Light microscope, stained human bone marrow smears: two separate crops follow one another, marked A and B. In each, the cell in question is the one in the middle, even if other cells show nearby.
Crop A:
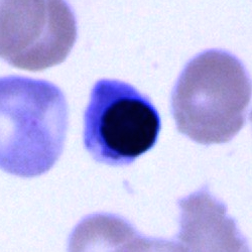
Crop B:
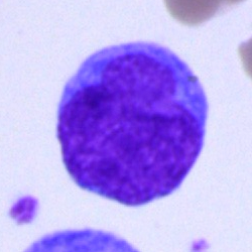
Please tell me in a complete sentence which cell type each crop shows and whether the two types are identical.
No, the labels go like this: crop A is an erythroblast and crop B is a blast.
